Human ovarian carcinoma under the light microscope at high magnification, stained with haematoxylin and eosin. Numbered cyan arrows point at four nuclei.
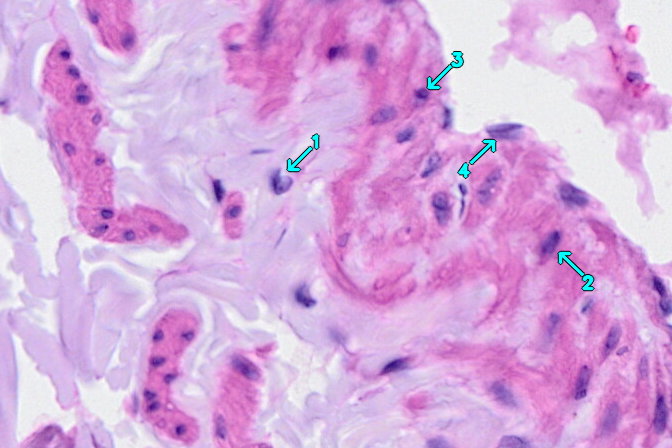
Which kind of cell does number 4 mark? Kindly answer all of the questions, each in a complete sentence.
Nucleus 4 in this section belongs to an endothelial cell.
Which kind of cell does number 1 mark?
The marked cell with the number 1 is recognised as a fibroblast.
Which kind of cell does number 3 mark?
The cell referenced by the number 3 is a smooth muscle cell in this field.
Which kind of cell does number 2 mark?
The cell with the number 2 is a smooth muscle cell.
